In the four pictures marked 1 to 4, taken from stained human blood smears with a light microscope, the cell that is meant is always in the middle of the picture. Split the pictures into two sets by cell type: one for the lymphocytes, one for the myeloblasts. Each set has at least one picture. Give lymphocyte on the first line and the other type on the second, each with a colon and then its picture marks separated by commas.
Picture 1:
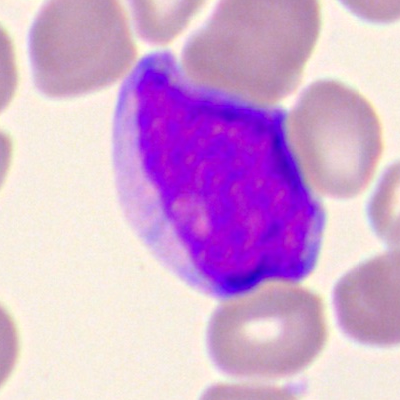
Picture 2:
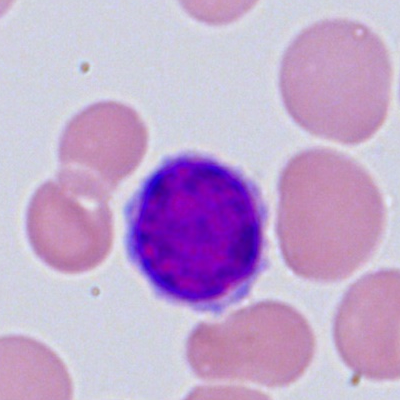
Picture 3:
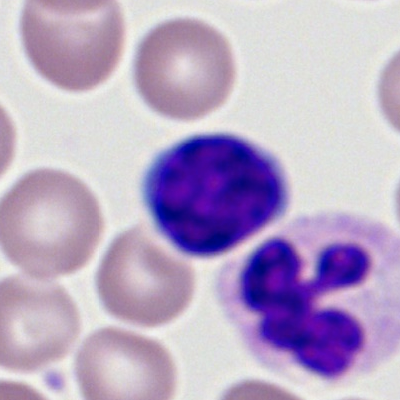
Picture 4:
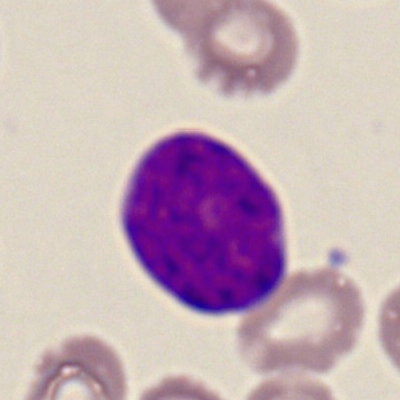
lymphocyte: 2, 3
myeloblast: 1, 4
